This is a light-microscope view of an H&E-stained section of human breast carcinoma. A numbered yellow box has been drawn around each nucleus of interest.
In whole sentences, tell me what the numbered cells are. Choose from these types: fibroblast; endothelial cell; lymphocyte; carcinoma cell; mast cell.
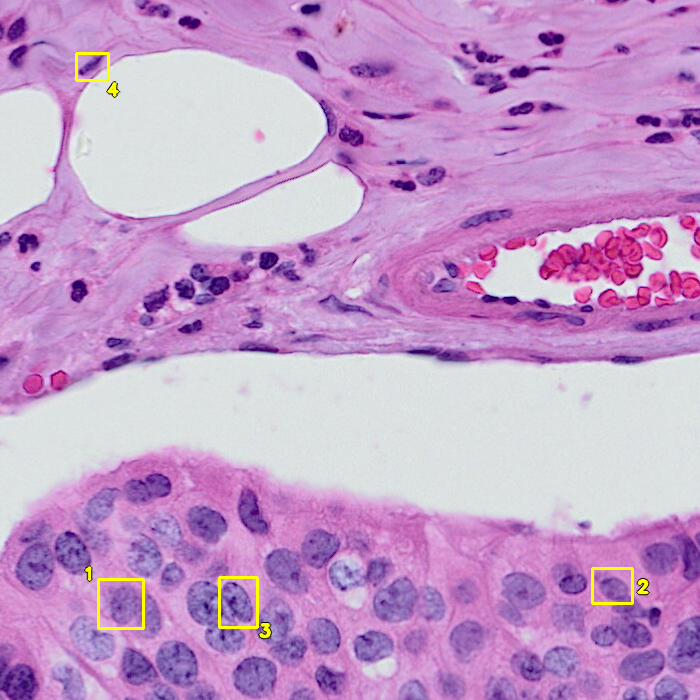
Cell 1 is a carcinoma cell, cell 2 is a carcinoma cell, cell 3 is a carcinoma cell and cell 4 is a fibroblast.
